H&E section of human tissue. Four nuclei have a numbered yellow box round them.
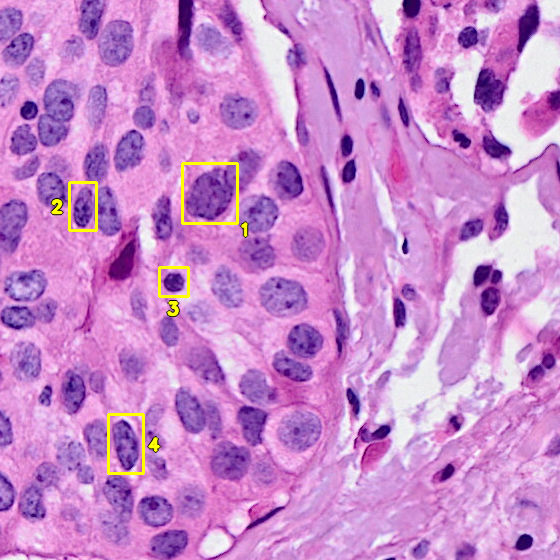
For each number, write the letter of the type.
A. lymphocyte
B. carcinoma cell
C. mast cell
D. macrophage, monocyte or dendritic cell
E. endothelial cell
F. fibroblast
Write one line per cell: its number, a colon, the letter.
1: B
2: B
3: A
4: B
